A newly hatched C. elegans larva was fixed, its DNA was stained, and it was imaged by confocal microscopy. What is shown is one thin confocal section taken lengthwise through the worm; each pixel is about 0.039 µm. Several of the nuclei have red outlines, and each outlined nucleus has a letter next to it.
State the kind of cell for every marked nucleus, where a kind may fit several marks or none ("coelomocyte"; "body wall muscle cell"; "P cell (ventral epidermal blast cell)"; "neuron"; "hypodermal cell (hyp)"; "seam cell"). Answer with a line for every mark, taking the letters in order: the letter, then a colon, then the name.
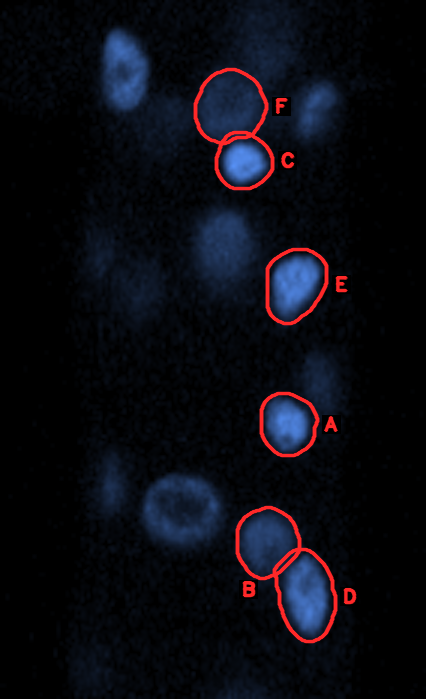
A: coelomocyte
B: P cell (ventral epidermal blast cell)
C: neuron
D: body wall muscle cell
E: coelomocyte
F: hypodermal cell (hyp)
